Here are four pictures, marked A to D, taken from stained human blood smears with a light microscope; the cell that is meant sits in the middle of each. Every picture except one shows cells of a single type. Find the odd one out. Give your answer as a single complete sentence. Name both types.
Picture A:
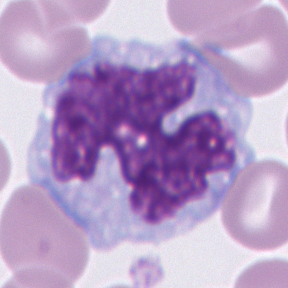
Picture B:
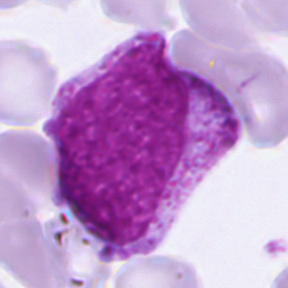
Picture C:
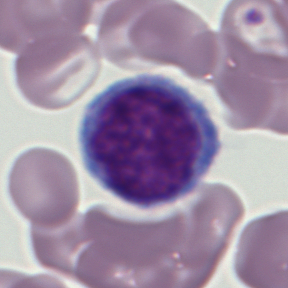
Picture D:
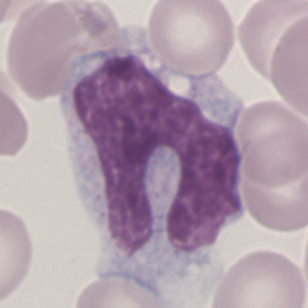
The different one is picture B; it shows a promyelocyte, whereas all the others show monocytes.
